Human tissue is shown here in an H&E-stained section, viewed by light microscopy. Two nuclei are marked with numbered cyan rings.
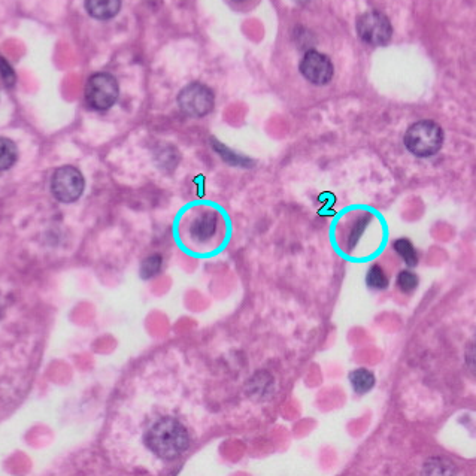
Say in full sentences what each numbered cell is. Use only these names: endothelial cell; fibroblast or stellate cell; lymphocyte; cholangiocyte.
Cell 1 is a fibroblast or stellate cell and cell 2 is an endothelial cell.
